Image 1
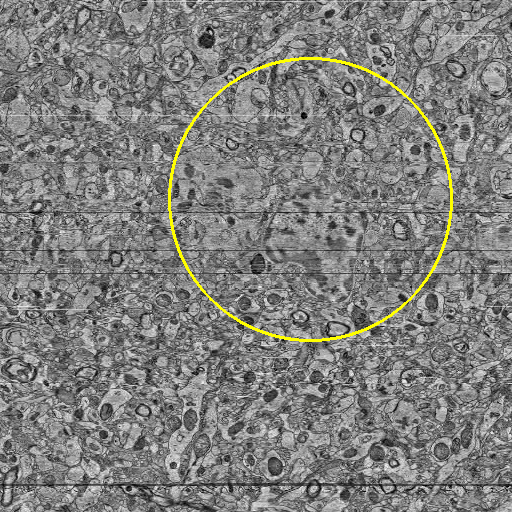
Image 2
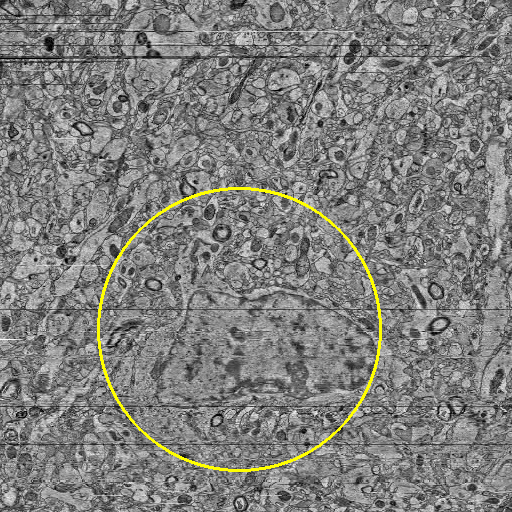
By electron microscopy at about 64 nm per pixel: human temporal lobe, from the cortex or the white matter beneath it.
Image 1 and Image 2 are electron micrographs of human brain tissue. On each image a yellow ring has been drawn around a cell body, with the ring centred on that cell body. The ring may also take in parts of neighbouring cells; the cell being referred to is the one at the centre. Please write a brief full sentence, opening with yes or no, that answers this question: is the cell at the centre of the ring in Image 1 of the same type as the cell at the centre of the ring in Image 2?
Yes, both cells are of the same type.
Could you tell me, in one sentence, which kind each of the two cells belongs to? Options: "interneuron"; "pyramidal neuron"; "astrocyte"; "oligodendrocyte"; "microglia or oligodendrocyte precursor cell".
The cell at the ring centre is a microglial cell or oligodendrocyte precursor cell in both pictures.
